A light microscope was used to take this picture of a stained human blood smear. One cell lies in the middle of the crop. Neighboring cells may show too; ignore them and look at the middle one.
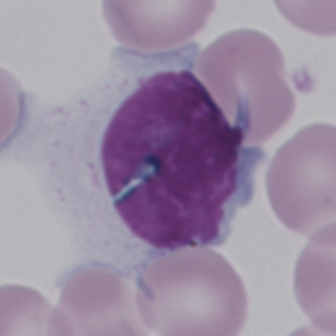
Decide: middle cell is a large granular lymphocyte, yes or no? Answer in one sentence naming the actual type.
Yes, the cell in the middle is a large granular lymphocyte.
